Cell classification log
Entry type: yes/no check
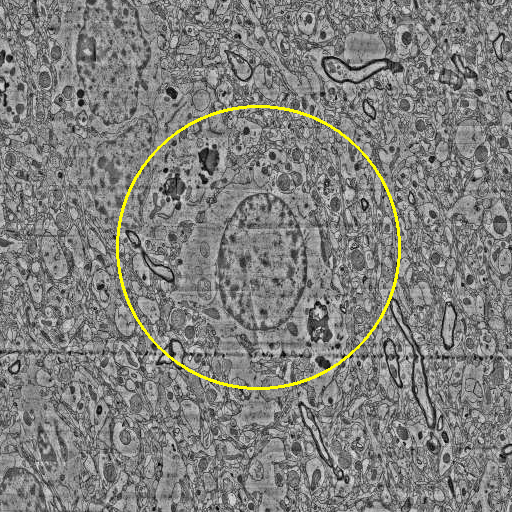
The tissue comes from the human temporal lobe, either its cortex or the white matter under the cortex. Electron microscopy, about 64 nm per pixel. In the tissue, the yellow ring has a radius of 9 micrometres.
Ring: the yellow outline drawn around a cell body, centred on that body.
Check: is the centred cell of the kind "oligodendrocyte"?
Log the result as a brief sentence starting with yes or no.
No, the cell is of another kind.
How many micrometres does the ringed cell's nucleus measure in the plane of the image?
The ringed cell's nucleus is roughly 9 by 6 micrometres and clearly longer than it is wide in this plane.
